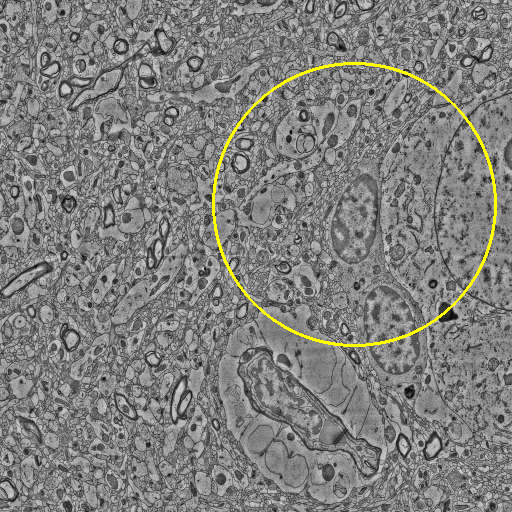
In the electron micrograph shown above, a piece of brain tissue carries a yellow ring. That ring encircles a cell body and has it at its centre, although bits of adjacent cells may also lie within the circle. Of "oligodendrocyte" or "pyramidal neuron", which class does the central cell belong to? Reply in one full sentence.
The cell body at the centre of the yellow ring belongs to an oligodendrocyte.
